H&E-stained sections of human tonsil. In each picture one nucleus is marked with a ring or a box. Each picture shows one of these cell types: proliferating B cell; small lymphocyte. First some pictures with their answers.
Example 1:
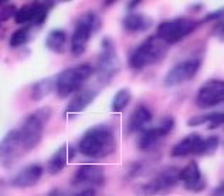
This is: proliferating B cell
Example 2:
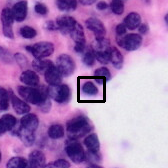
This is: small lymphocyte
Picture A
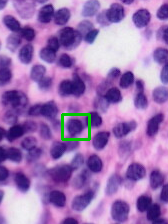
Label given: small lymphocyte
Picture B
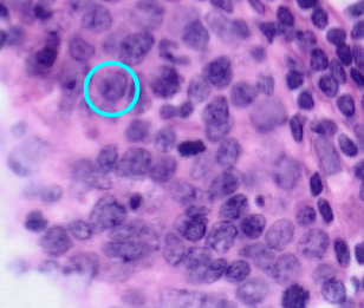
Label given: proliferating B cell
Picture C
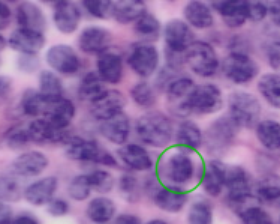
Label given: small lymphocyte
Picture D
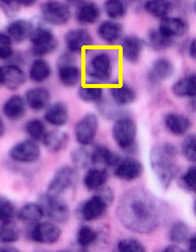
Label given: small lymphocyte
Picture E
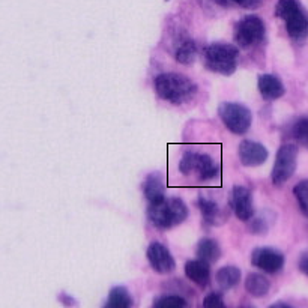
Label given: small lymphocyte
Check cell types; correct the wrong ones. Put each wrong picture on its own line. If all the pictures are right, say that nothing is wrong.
E: change small lymphocyte to proliferating B cell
